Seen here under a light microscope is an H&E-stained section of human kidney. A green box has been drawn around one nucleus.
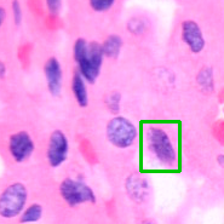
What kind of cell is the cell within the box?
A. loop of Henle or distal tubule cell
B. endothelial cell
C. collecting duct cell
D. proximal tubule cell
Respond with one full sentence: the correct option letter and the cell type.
It is option A that correctly calls the cell within the box a loop of Henle or distal tubule cell.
